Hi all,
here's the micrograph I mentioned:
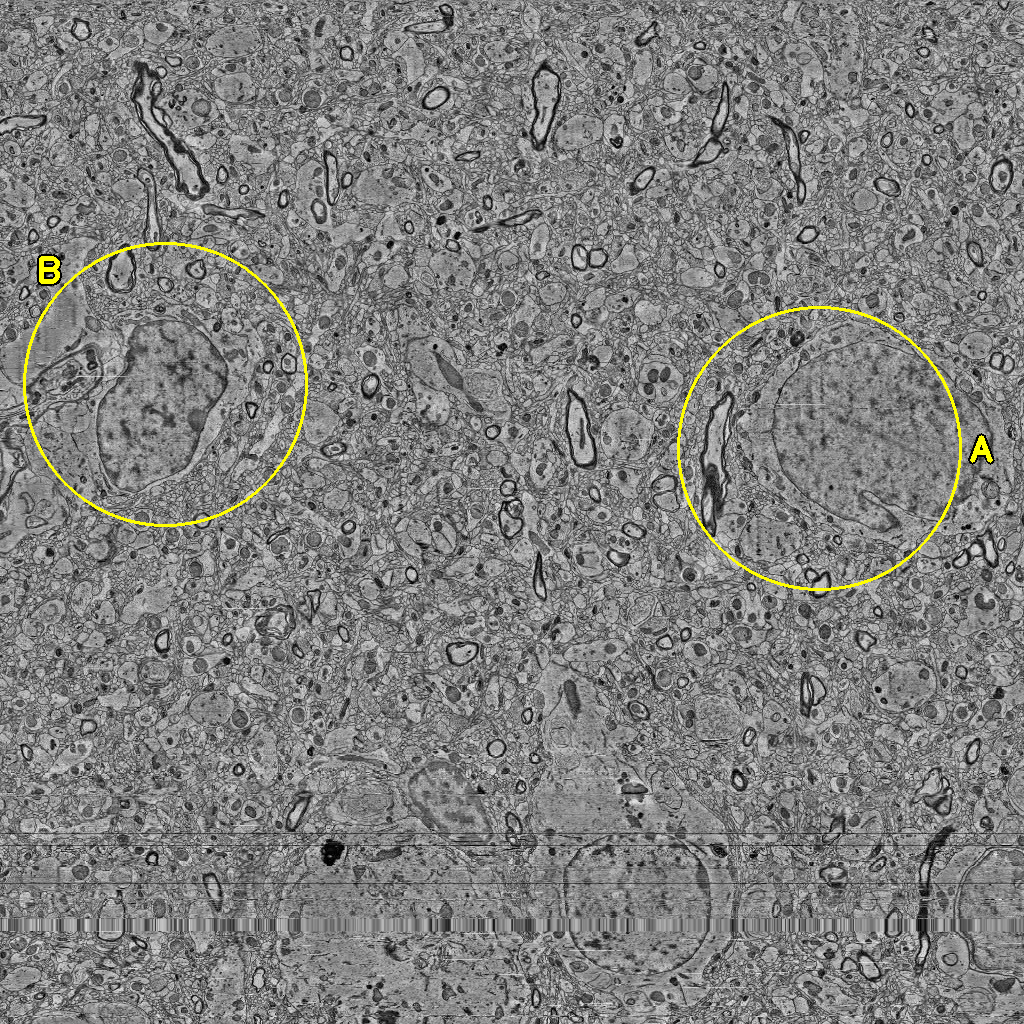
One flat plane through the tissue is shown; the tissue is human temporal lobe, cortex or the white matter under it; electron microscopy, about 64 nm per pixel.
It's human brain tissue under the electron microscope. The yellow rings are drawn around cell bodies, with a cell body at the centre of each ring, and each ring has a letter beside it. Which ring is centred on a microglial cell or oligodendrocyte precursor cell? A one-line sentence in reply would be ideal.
It's the one labelled B.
